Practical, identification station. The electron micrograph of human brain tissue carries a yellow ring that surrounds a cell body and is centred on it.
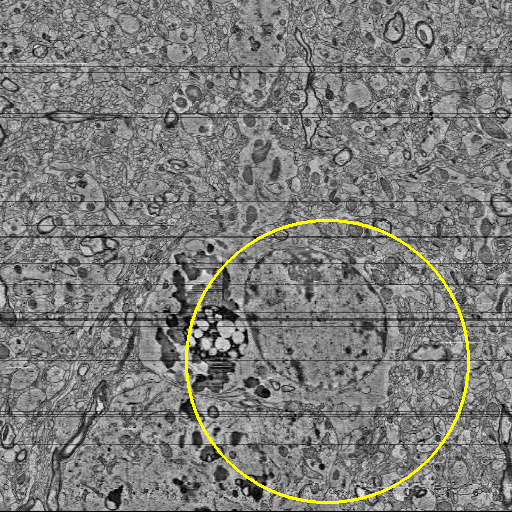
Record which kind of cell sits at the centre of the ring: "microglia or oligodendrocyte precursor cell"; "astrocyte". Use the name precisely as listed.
astrocyte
